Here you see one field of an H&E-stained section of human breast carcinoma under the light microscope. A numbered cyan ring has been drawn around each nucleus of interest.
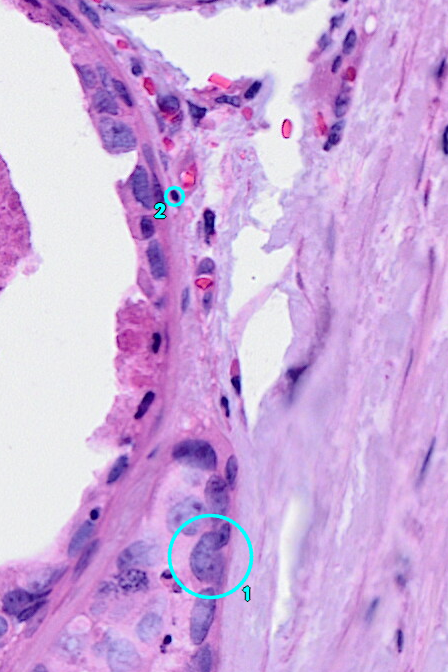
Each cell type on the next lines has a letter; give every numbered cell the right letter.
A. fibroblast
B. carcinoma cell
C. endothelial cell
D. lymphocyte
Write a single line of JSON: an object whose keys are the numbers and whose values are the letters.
{"1": "B", "2": "C"}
